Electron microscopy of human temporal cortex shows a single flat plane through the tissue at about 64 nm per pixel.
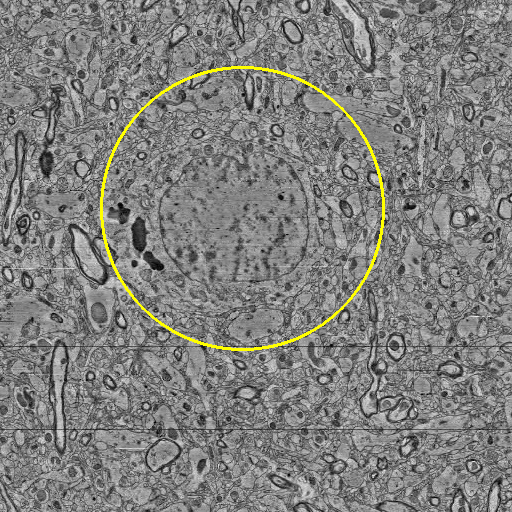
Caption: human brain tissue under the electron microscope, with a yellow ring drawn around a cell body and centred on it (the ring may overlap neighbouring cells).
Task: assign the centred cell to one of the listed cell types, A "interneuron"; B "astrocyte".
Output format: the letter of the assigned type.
A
